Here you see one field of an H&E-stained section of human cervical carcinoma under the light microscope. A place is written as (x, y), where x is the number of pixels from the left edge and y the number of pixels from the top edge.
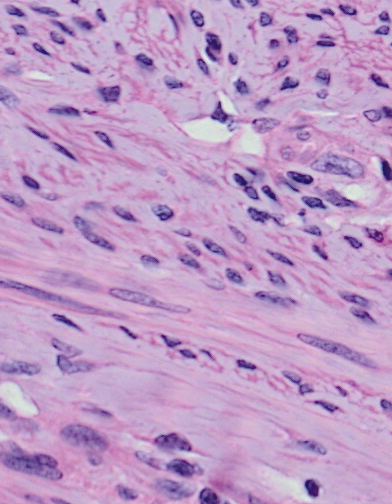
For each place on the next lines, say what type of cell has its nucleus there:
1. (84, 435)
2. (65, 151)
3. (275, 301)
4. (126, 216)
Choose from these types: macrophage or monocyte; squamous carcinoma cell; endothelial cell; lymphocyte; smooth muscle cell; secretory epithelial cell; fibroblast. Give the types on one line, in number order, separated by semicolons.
endothelial cell; smooth muscle cell; smooth muscle cell; smooth muscle cell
